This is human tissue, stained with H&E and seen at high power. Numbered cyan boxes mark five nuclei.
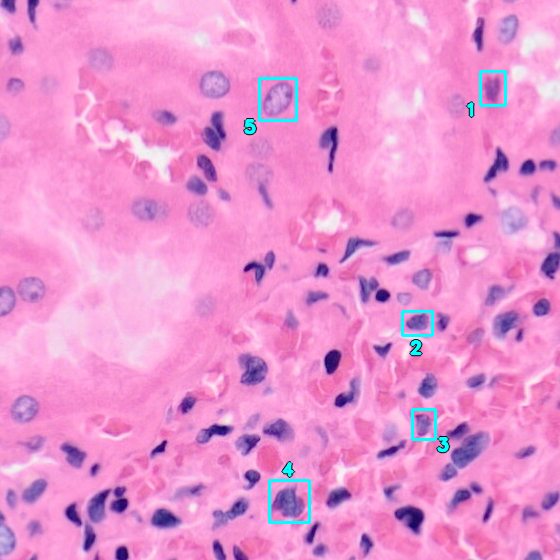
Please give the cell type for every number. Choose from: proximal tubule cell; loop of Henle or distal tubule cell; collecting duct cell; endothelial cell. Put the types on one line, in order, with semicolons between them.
proximal tubule cell; endothelial cell; endothelial cell; endothelial cell; proximal tubule cell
